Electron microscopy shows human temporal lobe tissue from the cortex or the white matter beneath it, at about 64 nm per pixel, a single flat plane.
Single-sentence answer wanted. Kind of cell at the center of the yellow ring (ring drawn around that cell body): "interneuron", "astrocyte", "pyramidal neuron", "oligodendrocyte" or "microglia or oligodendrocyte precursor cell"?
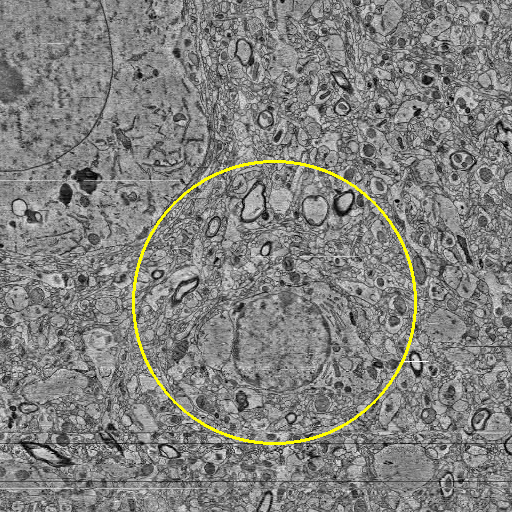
The cell centered in the ring is a microglial cell or oligodendrocyte precursor cell.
